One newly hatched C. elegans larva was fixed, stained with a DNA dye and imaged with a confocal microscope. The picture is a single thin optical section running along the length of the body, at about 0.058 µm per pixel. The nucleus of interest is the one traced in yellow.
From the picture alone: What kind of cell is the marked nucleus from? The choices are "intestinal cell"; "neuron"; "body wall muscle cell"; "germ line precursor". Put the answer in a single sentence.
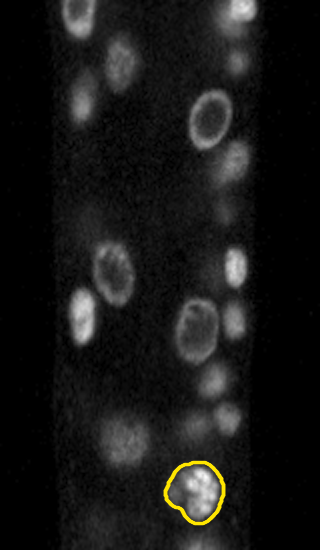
The marked nucleus is that of a germ line precursor.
